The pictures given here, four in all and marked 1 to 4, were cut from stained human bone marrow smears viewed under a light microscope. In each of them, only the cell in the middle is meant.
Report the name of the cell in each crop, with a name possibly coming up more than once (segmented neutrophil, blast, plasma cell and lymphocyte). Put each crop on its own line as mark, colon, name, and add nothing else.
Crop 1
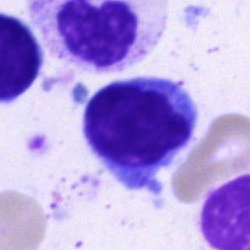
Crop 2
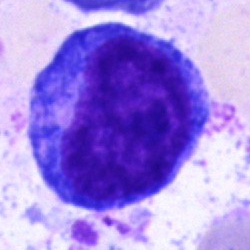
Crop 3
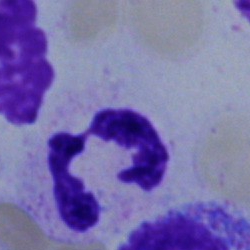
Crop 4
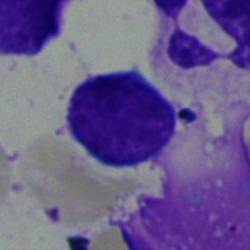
1: lymphocyte
2: blast
3: segmented neutrophil
4: lymphocyte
